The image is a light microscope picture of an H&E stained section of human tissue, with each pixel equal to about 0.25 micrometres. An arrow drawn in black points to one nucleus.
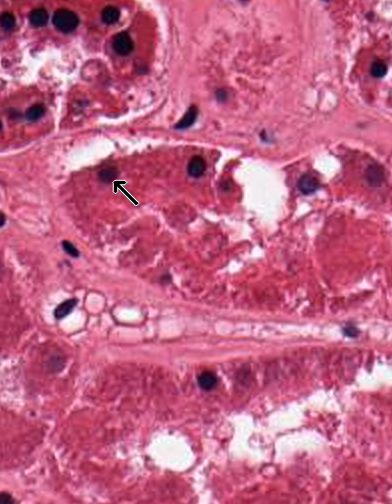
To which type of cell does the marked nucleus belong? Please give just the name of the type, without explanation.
proximal tubule cell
